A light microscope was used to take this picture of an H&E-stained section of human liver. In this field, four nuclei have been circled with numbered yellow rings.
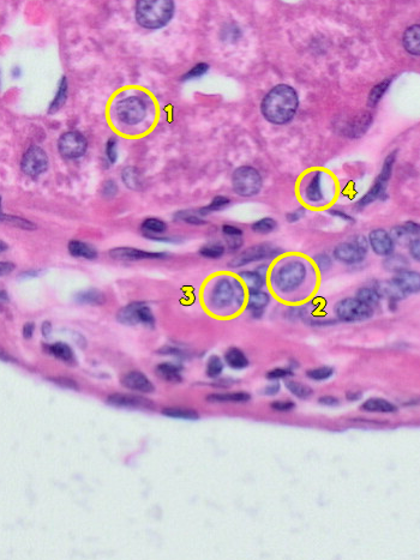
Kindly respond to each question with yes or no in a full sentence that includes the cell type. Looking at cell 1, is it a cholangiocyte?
No, cell 1 is not a cholangiocyte at all but a hepatocyte.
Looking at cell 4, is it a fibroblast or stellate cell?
Yes, the cell bearing the number 4 is a fibroblast or stellate cell.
